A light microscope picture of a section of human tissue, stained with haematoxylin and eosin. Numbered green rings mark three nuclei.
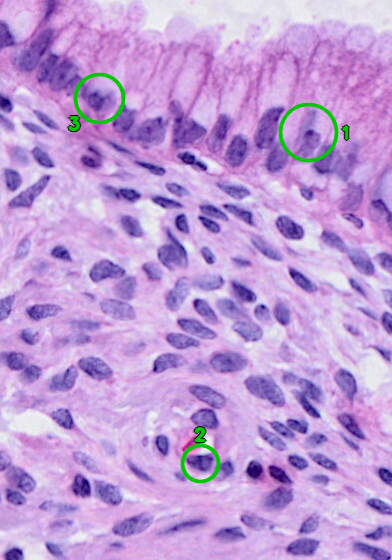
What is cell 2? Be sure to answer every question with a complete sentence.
The marked cell with the number 2 is recognised as an endothelial cell.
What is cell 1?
In the marked set, the cell given number 1 is a secretory epithelial cell.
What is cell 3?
The cell that is numbered 3 is a secretory epithelial cell.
